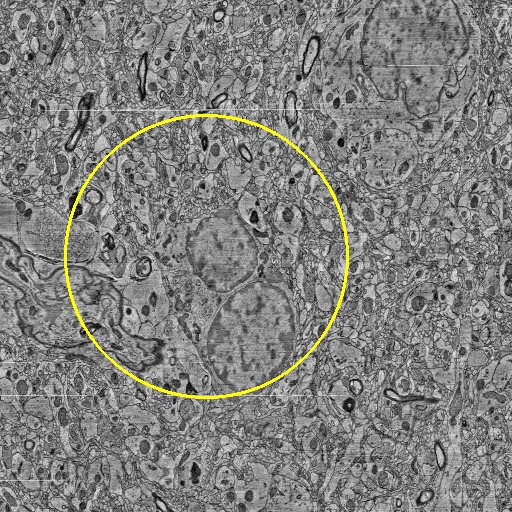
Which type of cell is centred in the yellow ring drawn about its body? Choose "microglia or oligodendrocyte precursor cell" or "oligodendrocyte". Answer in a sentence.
The yellow ring surrounds the cell body of an oligodendrocyte.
